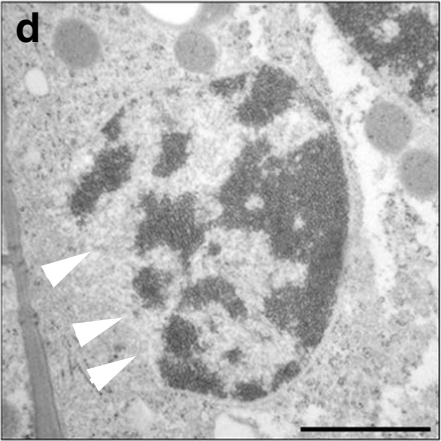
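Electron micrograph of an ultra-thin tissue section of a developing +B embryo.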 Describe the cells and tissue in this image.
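The small oval nucleus is packed with large, very dark, irregular chromatin clumps that fill much of its interior, leaving only patchy lighter areas between them. Along its left side, where the arrowheads point, the boundary with the surrounding cytoplasm looks ragged and no continuous envelope can be traced. The cytoplasm around it is granular and holds round, grey organelles and pale vacuole-like spaces, and a thick cell wall runs down the left edge of the field.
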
